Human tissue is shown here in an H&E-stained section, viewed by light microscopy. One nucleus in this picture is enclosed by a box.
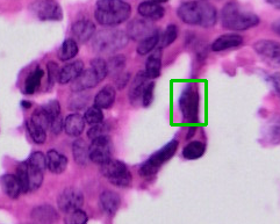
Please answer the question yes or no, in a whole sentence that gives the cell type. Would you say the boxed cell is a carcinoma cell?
Yes, the boxed cell is a carcinoma cell by cell type.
